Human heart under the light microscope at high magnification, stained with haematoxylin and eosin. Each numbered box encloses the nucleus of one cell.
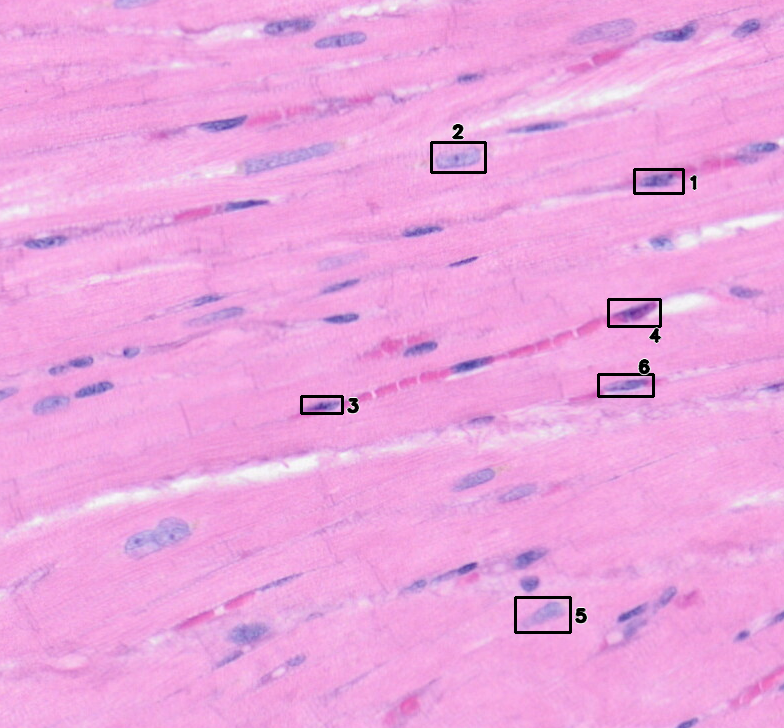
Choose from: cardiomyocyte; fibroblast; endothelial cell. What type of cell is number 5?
cardiomyocyte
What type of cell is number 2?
cardiomyocyte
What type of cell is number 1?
endothelial cell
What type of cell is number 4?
endothelial cell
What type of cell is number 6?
endothelial cell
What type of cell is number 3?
endothelial cell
